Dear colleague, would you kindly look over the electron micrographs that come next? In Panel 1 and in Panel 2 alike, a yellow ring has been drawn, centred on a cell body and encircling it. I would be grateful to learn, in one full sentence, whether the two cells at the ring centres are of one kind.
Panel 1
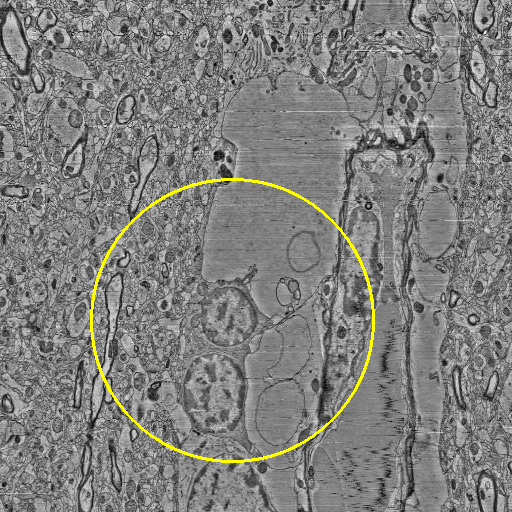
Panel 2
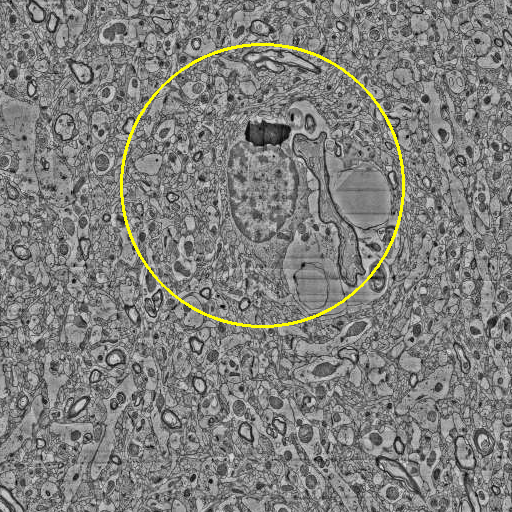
Yes, the cells in the middle of the rings in the two panels are of one kind.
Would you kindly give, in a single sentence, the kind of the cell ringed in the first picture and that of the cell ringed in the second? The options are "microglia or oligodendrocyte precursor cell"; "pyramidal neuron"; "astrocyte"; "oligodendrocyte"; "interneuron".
Each of the two rings surrounds an oligodendrocyte.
